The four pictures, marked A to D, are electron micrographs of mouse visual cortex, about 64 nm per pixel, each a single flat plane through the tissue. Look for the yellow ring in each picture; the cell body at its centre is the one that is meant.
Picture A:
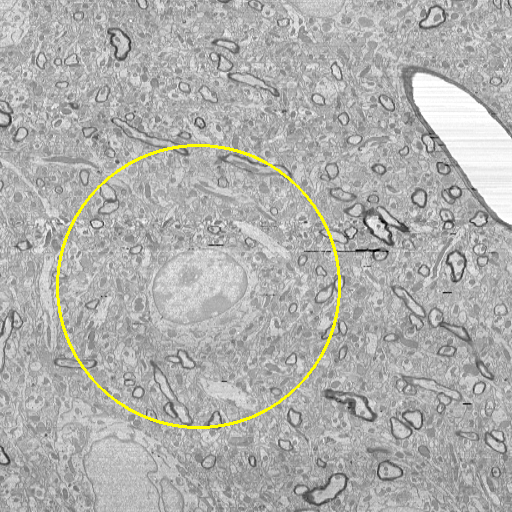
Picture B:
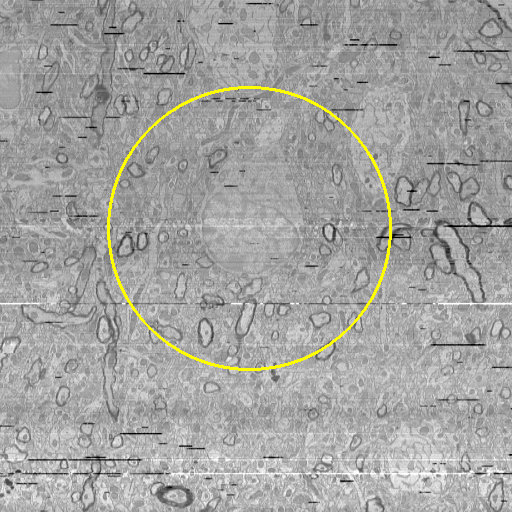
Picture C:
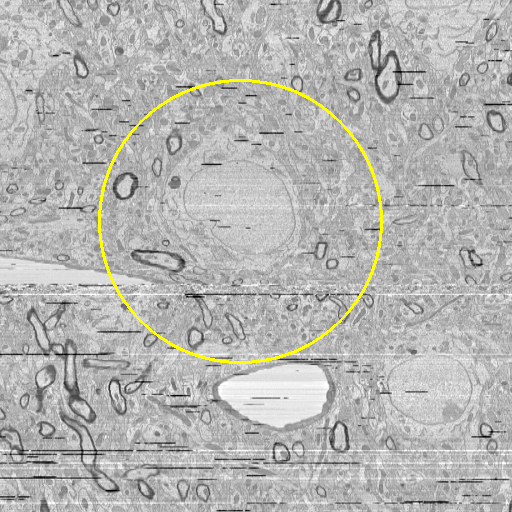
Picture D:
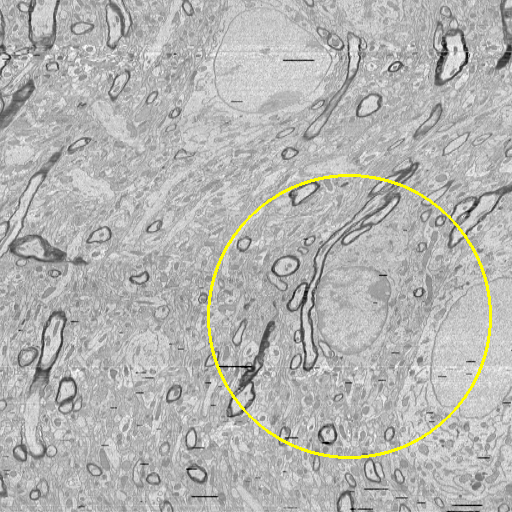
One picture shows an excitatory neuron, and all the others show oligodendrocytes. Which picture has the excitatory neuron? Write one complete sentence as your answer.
The picture with the excitatory neuron is C.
